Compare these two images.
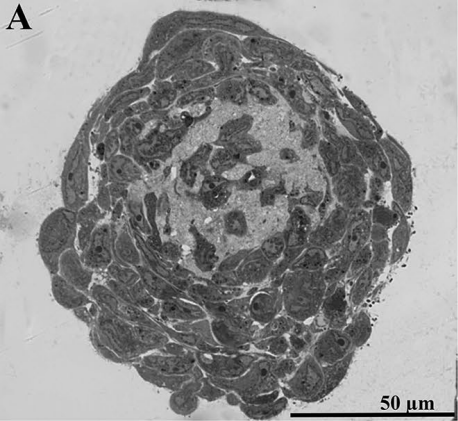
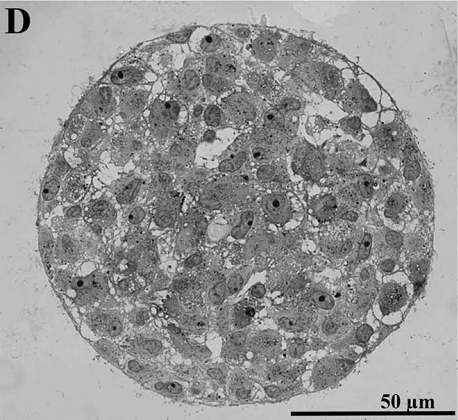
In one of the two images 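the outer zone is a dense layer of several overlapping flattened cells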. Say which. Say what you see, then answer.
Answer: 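The first image. Second image: the edge is a single thin rim, and rounded cells lie loosely with many clear spaces throughout. First image: the periphery is a thick band of several concentric layers of flattened, overlapping cells.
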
